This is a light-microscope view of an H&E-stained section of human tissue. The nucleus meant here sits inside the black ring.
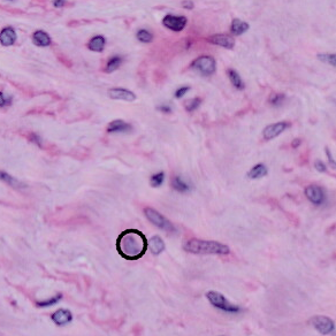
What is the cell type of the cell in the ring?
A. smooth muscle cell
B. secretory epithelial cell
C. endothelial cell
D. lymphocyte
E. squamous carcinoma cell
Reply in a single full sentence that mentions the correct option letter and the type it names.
It is as option A has it, the cell in the ring being a smooth muscle cell.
